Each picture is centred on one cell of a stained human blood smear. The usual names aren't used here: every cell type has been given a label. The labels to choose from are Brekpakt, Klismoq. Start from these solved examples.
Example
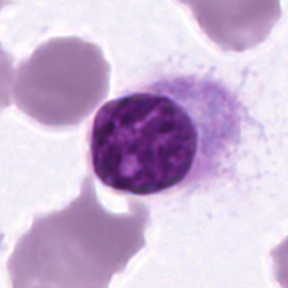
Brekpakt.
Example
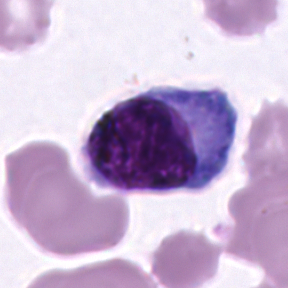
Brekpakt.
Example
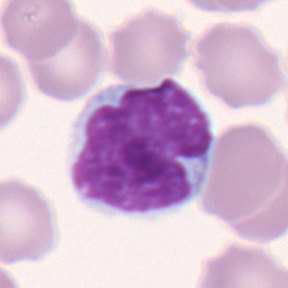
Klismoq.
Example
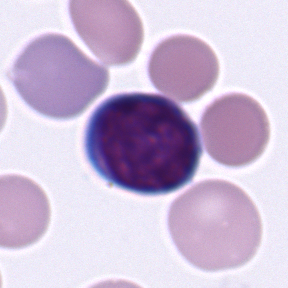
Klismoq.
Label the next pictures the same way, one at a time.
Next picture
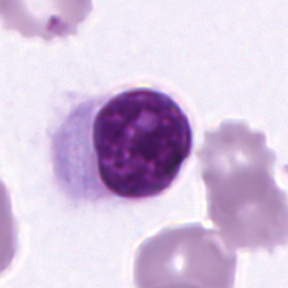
Brekpakt.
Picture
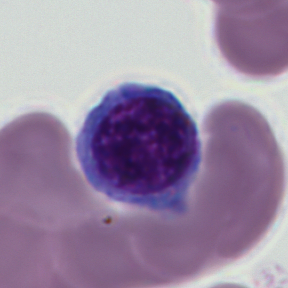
Brekpakt.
